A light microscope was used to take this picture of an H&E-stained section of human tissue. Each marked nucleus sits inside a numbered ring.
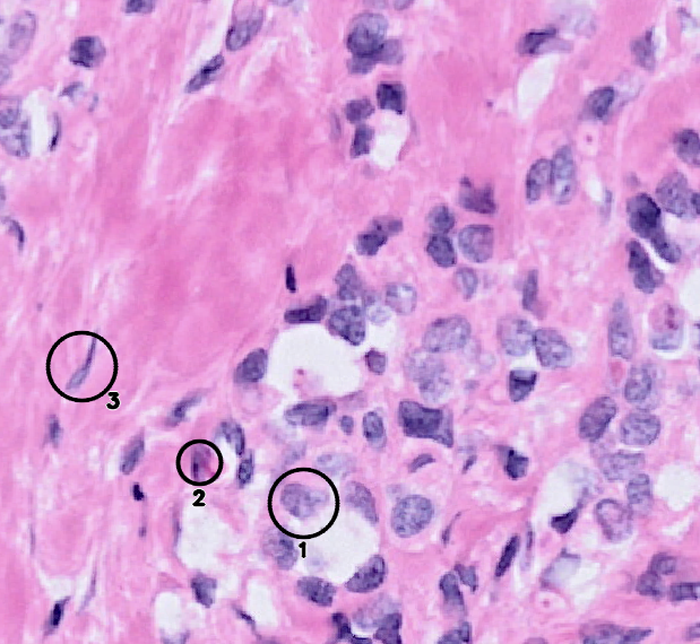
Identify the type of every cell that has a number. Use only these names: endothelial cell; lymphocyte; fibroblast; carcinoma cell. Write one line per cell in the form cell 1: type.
cell 1: carcinoma cell
cell 2: endothelial cell
cell 3: fibroblast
